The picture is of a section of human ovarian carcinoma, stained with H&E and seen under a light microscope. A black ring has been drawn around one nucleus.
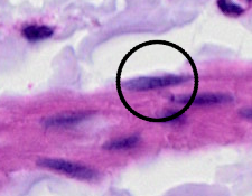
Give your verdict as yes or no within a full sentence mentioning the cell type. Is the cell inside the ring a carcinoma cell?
No, it is a smooth muscle cell, not a carcinoma cell, that the cell inside the ring represents.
